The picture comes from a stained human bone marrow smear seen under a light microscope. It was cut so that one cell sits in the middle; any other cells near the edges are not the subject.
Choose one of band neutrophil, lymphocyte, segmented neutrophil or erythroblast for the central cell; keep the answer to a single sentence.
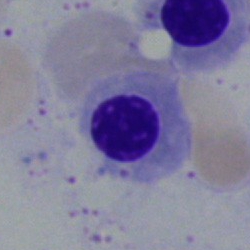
In the middle of this smear crop is an erythroblast.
